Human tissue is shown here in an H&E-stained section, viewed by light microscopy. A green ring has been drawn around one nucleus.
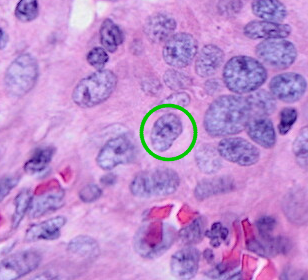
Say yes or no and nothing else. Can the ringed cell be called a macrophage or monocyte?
yes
